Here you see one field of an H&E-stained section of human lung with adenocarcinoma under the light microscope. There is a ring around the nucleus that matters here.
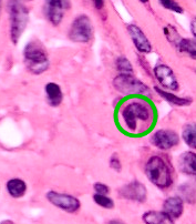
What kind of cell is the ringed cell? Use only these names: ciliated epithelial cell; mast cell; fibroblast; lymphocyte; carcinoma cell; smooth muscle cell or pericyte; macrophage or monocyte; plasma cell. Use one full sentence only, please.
Right, so the ringed cell is a plasma cell, to answer that.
